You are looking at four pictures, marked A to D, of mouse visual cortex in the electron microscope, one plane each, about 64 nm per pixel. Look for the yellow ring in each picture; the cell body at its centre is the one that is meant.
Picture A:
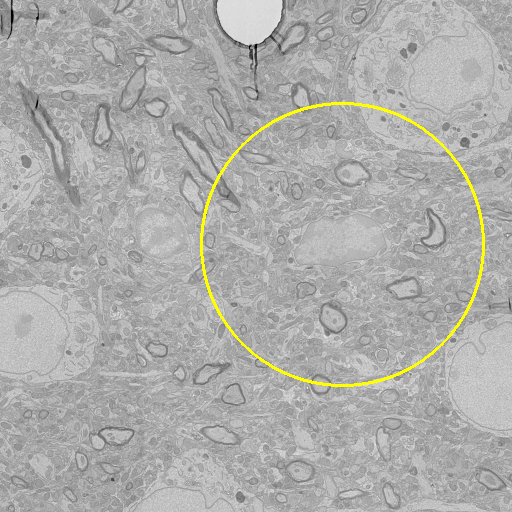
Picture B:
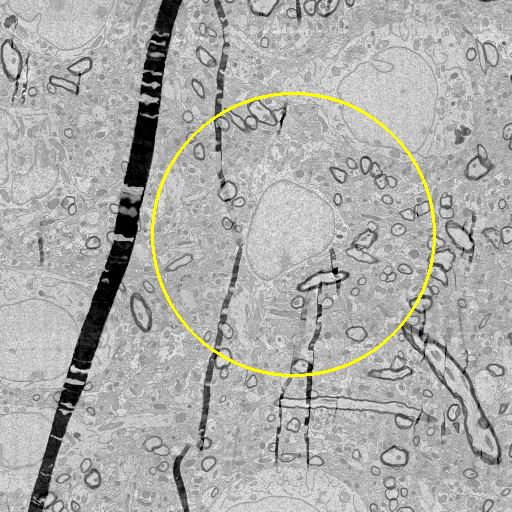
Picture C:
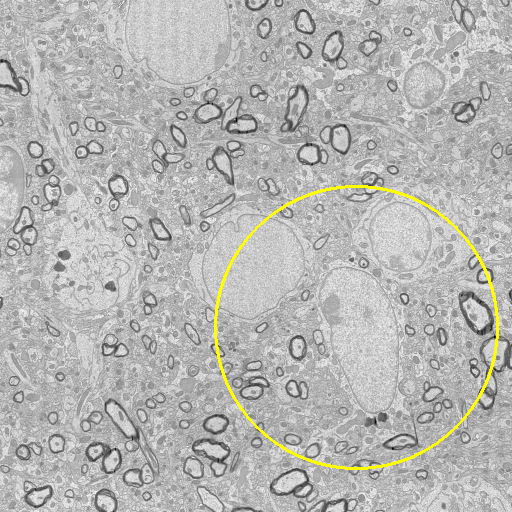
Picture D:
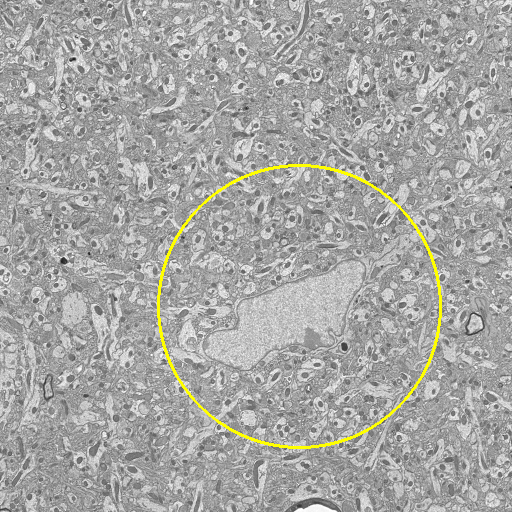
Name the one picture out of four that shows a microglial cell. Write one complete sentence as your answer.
The picture with the microglial cell is A.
